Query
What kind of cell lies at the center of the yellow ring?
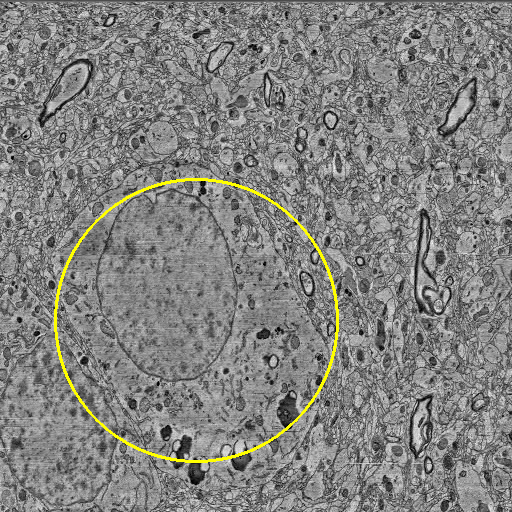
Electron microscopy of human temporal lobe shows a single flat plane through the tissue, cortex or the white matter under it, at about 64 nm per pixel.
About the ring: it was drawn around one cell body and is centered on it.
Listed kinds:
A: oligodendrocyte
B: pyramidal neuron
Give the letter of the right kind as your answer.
B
